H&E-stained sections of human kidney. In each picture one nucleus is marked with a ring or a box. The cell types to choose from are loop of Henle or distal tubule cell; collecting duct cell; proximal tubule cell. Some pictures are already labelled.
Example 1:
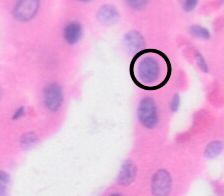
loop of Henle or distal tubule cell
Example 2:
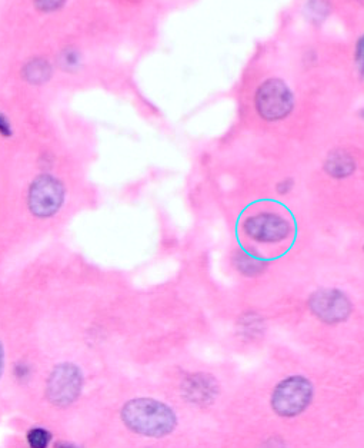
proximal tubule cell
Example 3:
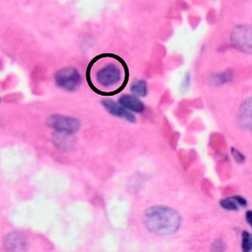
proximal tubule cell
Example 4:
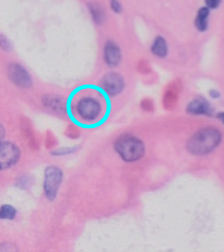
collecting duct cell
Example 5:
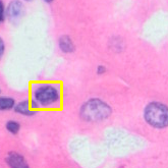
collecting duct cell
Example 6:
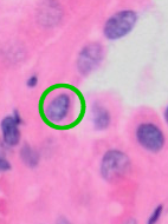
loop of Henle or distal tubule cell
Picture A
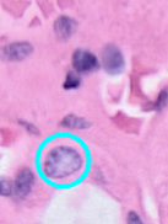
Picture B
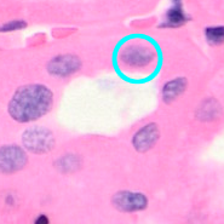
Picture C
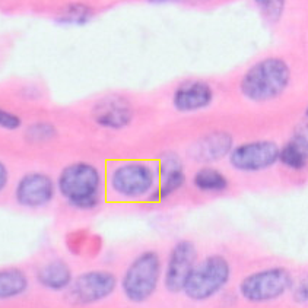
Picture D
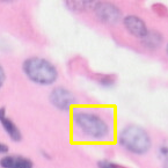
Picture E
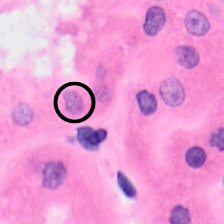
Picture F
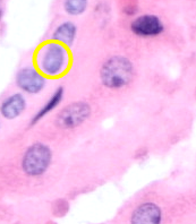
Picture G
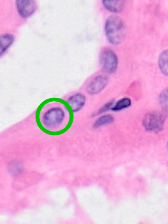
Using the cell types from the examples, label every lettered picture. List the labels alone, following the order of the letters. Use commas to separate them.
collecting duct cell, loop of Henle or distal tubule cell, collecting duct cell, collecting duct cell, proximal tubule cell, collecting duct cell, collecting duct cell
